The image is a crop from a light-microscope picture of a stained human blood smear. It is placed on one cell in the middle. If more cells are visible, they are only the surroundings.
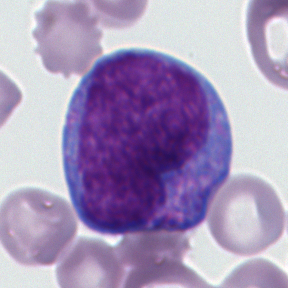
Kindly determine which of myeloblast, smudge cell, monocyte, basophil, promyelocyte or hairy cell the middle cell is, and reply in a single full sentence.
What sits at the centre of this crop is a promyelocyte.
